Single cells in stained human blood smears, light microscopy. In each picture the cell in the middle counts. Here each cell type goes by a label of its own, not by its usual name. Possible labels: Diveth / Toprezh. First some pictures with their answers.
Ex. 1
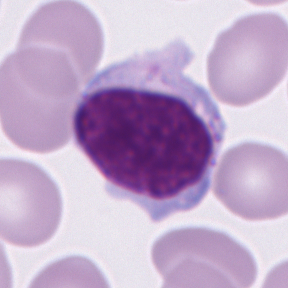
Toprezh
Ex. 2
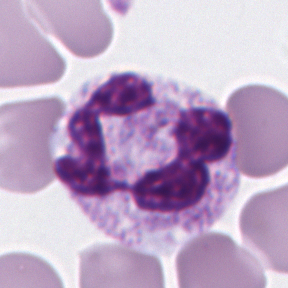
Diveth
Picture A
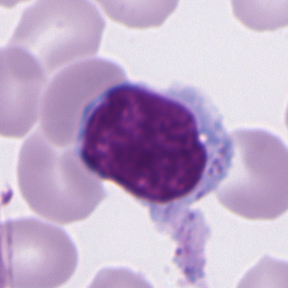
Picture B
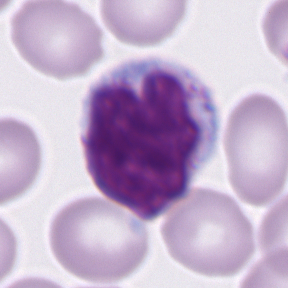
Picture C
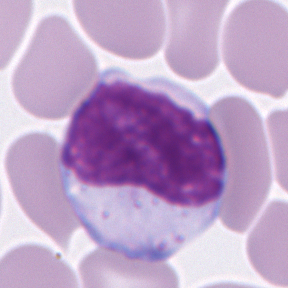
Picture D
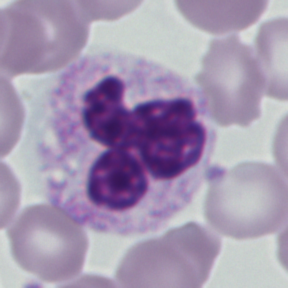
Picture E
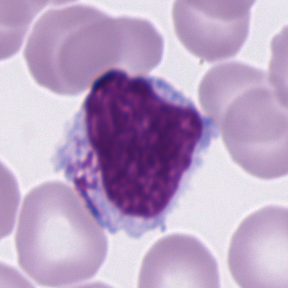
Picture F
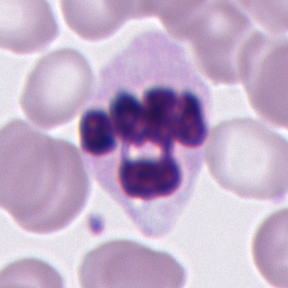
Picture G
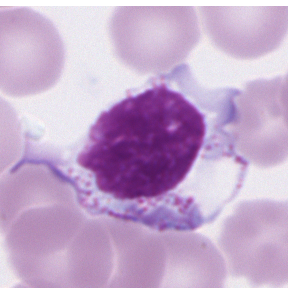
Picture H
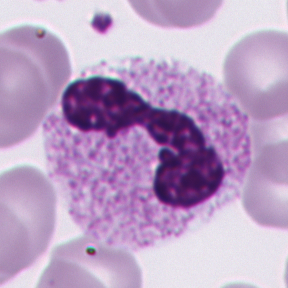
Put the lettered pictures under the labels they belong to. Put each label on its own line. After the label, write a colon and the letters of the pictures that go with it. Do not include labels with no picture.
Diveth: D, F, H
Toprezh: A, B, C, E, G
